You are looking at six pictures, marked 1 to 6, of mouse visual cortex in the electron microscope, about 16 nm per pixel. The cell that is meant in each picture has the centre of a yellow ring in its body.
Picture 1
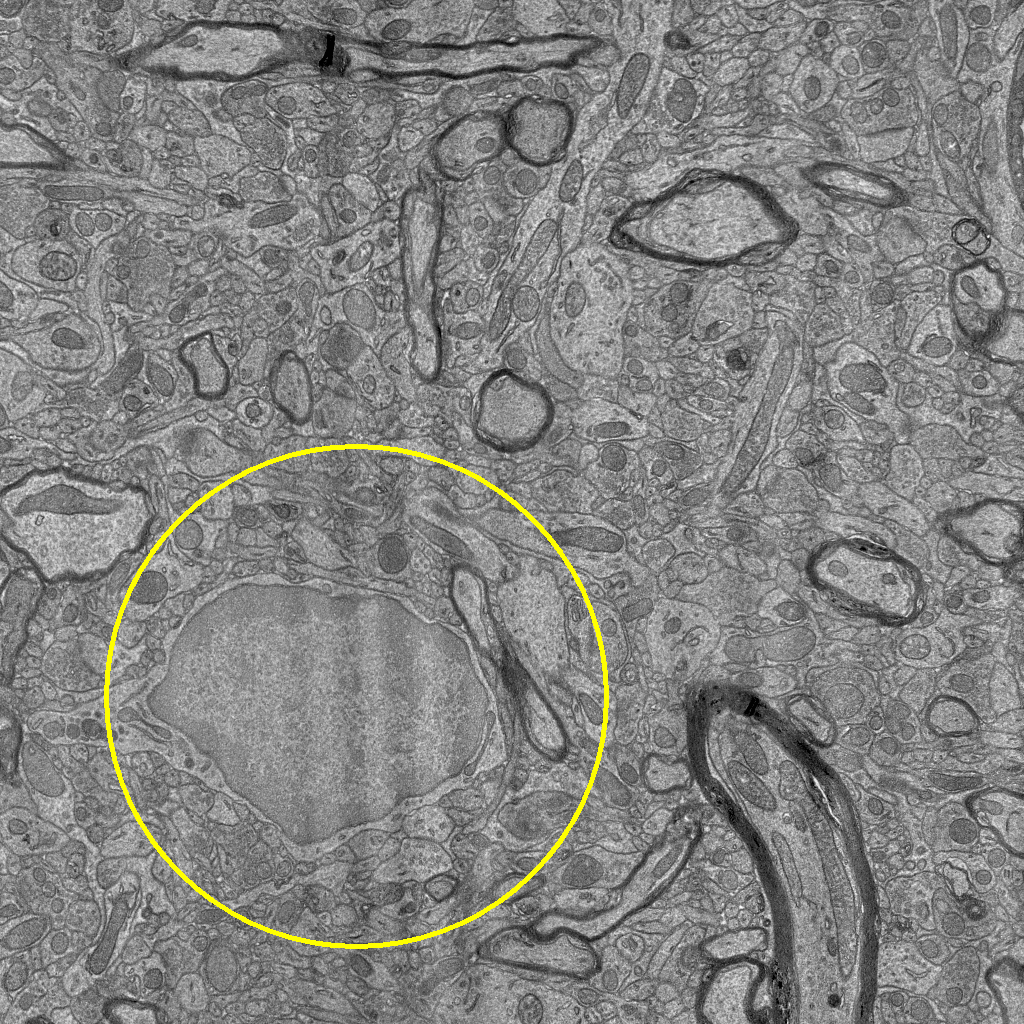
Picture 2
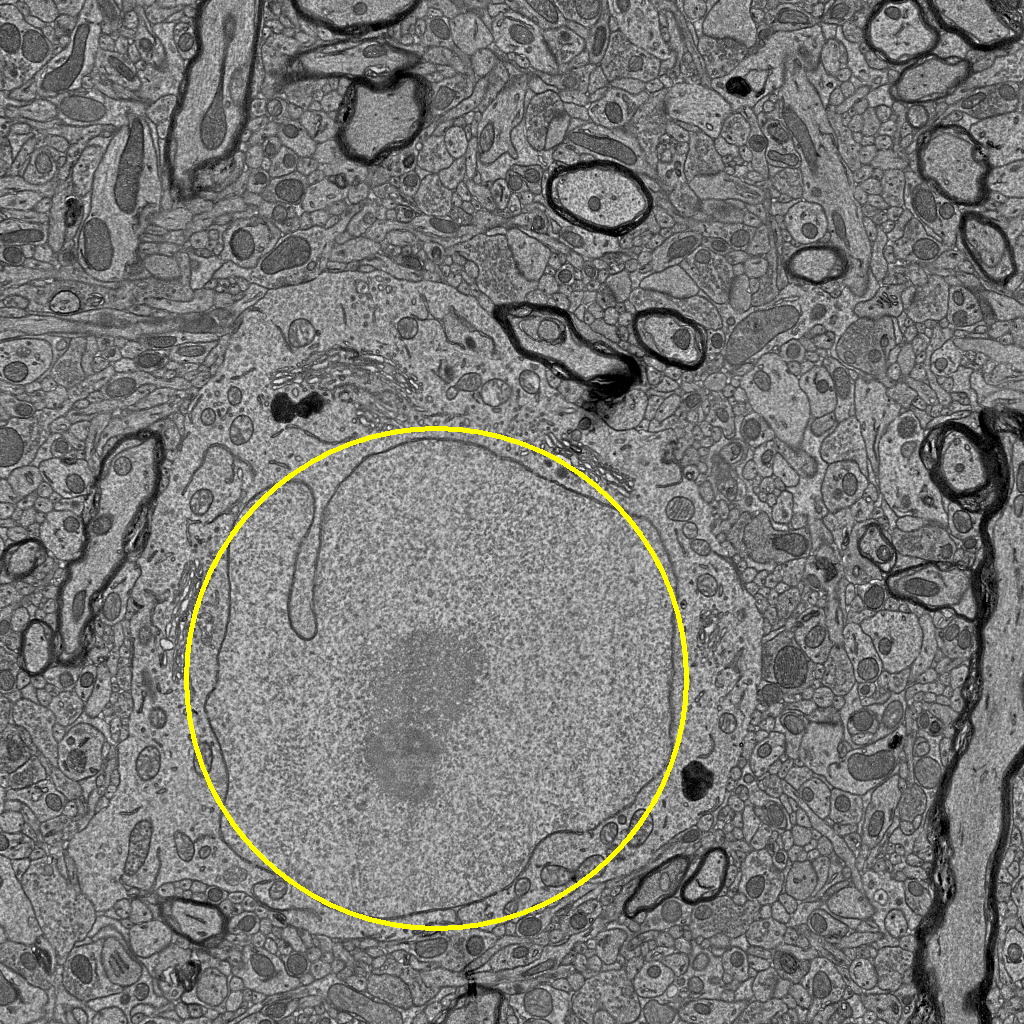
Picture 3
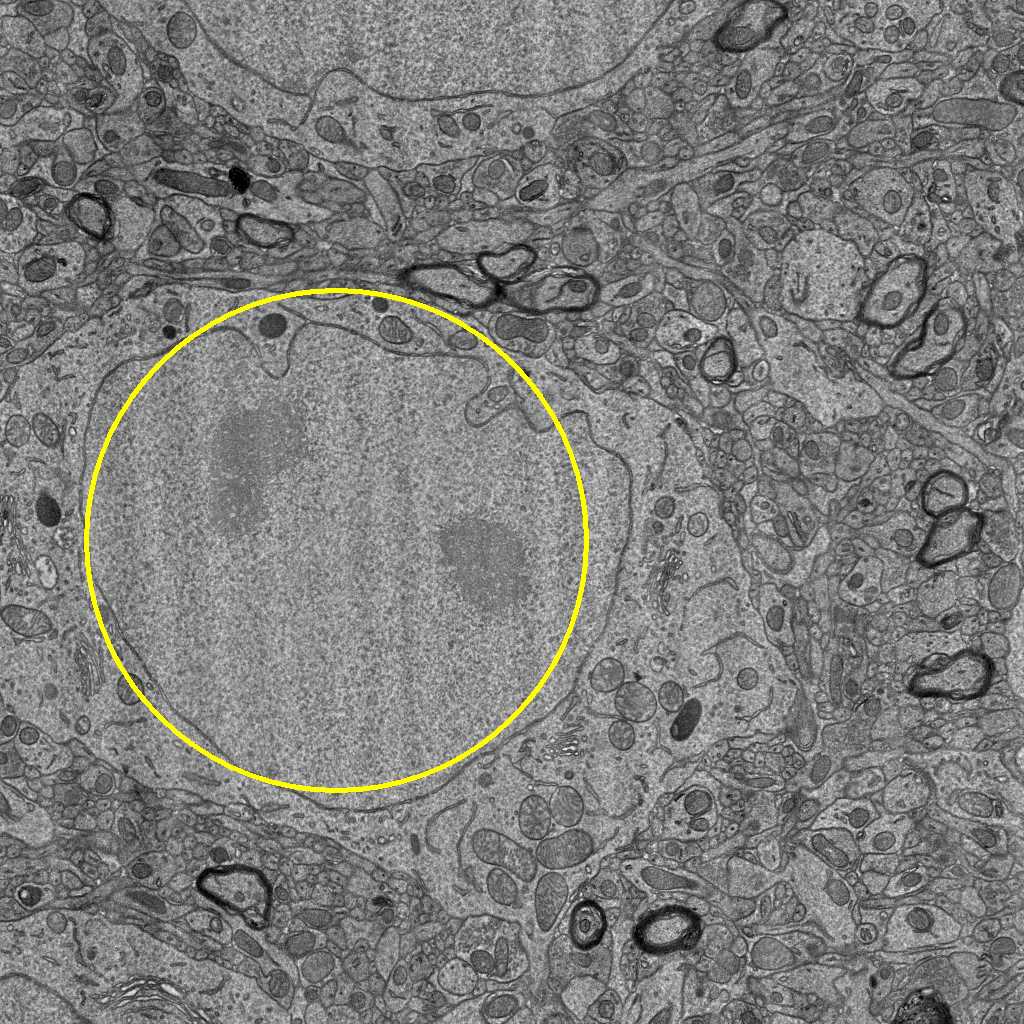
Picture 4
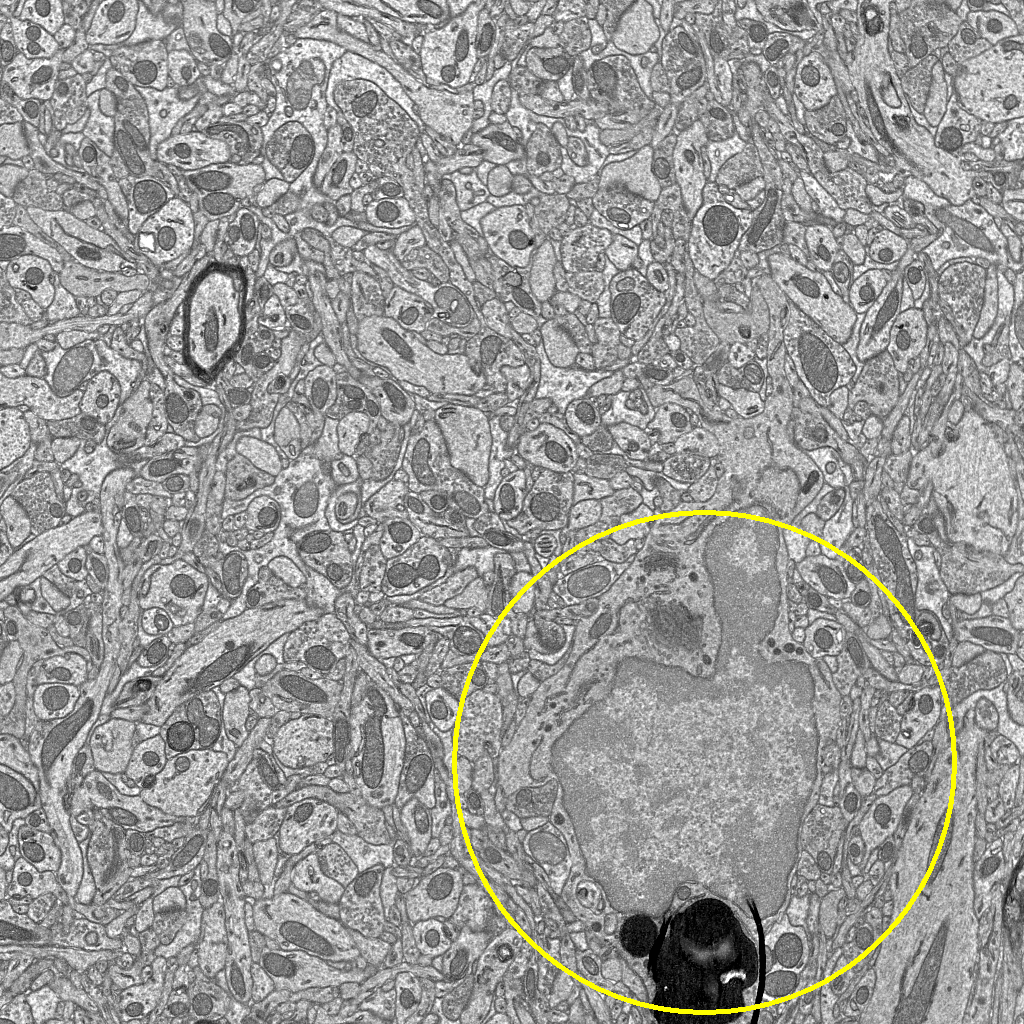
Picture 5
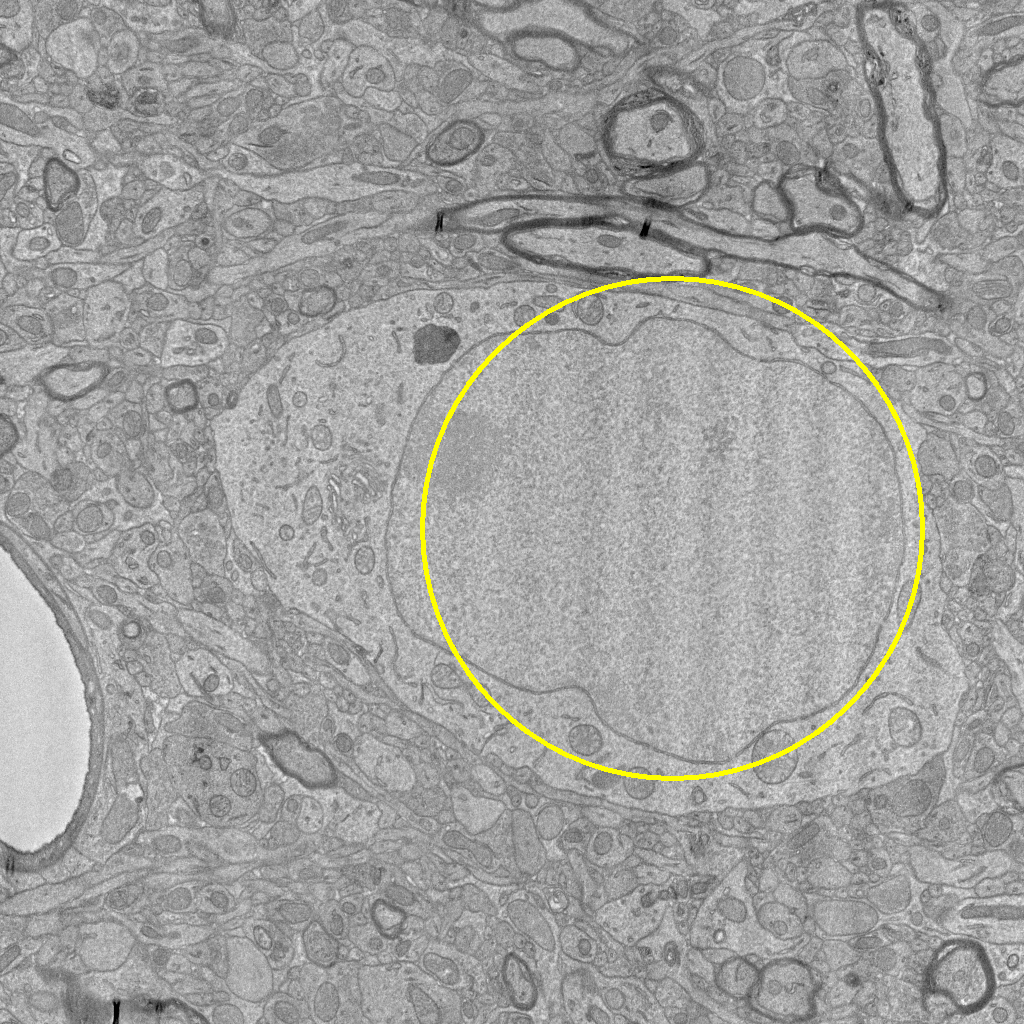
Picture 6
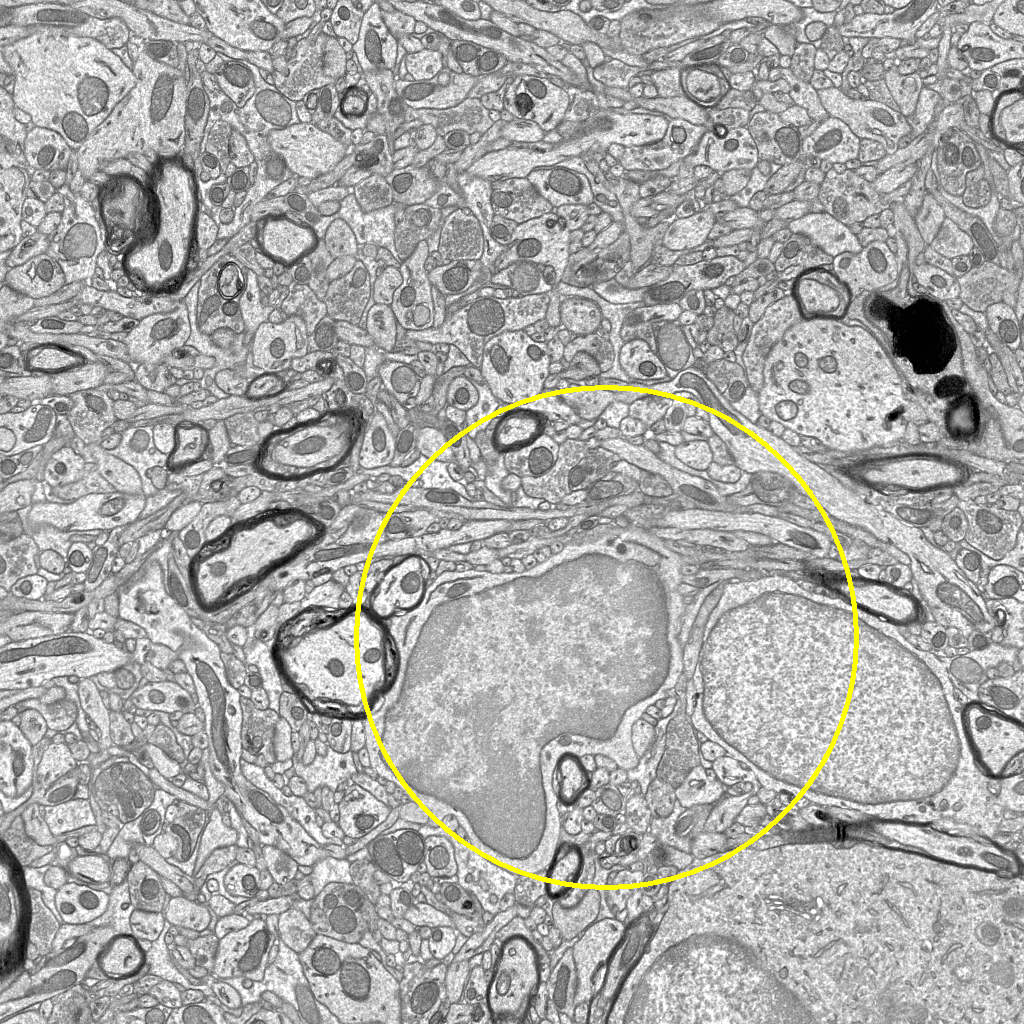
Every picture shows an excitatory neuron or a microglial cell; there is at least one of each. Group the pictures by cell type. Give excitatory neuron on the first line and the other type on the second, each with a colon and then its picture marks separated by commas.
excitatory neuron: 2, 3, 5
microglial cell: 1, 4, 6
